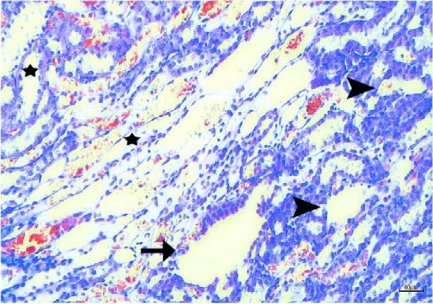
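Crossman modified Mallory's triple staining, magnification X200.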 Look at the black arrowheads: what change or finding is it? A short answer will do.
Degenerative tubules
